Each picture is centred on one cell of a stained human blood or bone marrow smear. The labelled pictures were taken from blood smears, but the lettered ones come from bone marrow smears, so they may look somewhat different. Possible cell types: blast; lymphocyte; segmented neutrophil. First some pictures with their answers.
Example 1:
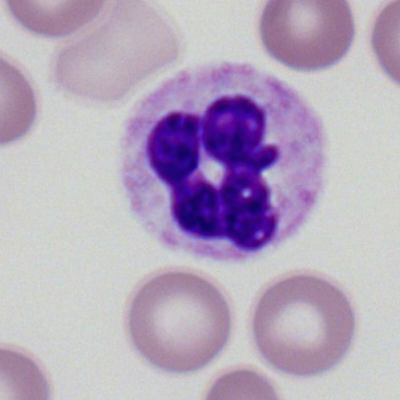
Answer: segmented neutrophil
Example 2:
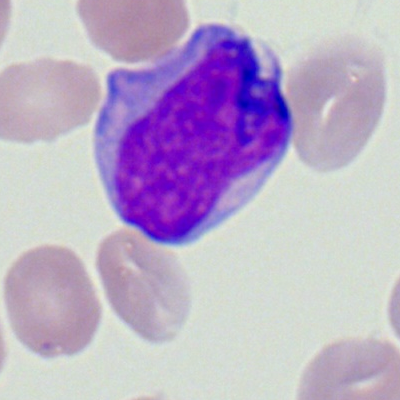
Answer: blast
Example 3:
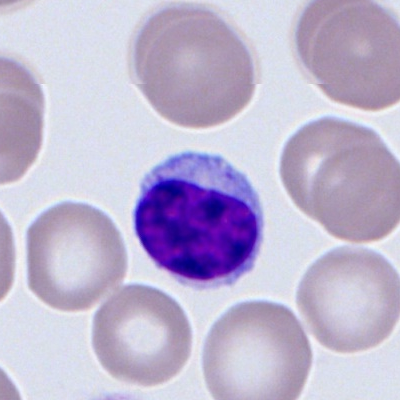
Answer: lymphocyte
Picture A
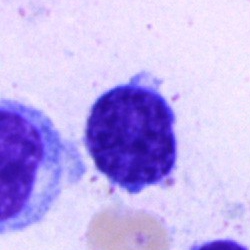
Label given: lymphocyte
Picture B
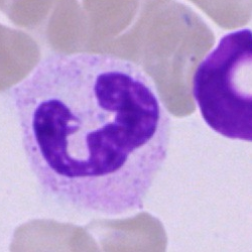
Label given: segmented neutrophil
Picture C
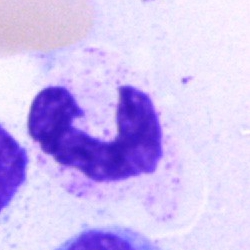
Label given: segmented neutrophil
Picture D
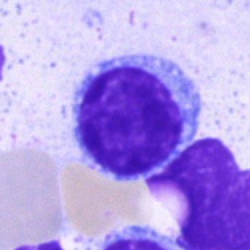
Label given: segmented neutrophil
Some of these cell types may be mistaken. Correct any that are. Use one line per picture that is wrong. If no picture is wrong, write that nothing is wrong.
D is labelled segmented neutrophil; correct label: lymphocyte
